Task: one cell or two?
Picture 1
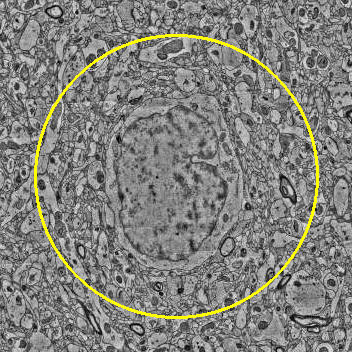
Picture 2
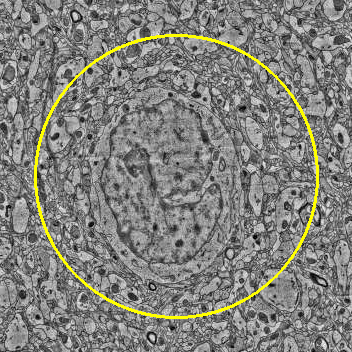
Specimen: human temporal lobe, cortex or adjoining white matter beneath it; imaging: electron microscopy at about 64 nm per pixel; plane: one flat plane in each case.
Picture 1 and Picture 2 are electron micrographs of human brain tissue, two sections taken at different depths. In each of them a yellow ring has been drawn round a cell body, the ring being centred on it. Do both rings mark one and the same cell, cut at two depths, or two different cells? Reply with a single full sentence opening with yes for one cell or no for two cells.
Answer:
Yes, each ring singles out the same cell.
